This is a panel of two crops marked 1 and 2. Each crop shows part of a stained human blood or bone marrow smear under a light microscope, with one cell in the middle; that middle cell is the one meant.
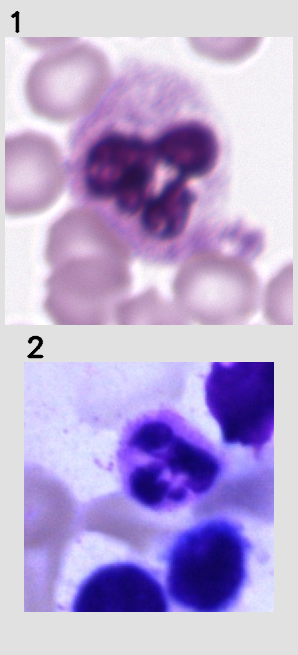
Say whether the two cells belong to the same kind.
yes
